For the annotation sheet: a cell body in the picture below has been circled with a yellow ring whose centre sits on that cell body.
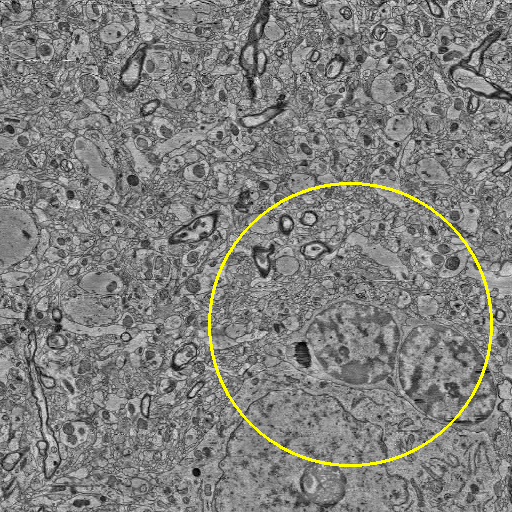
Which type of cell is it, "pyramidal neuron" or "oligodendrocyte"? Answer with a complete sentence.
The circled cell is an oligodendrocyte.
